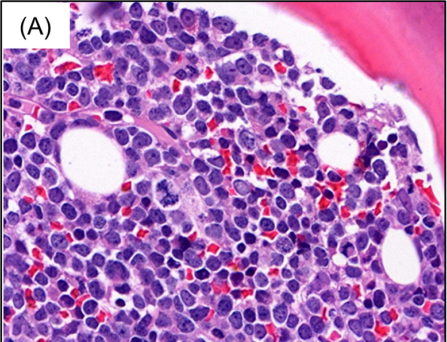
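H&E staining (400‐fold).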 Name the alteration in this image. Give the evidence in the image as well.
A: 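The marrow space beside the pink bone trabecula is filled almost entirely by one population of cells. Only a few fat vacuoles and scattered red cells remain between them. So: subtotal bone marrow infiltration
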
